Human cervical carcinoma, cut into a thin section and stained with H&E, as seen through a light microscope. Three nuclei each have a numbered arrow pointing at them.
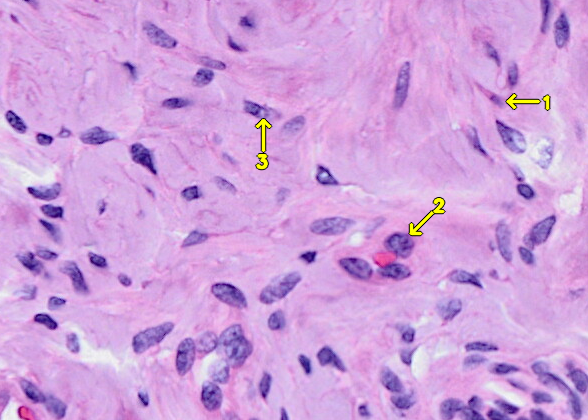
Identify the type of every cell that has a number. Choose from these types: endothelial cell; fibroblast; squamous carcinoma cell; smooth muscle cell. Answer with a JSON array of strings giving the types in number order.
["smooth muscle cell", "endothelial cell", "fibroblast"]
